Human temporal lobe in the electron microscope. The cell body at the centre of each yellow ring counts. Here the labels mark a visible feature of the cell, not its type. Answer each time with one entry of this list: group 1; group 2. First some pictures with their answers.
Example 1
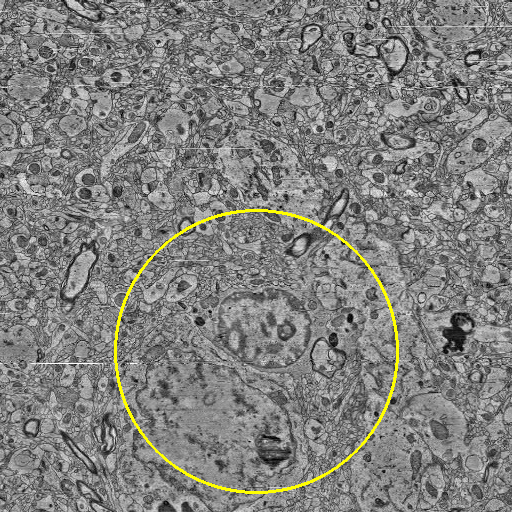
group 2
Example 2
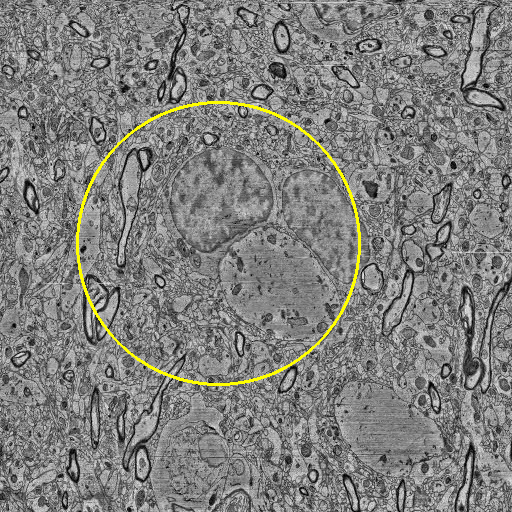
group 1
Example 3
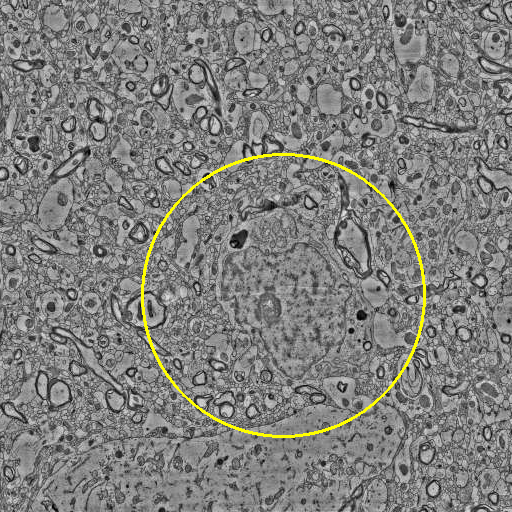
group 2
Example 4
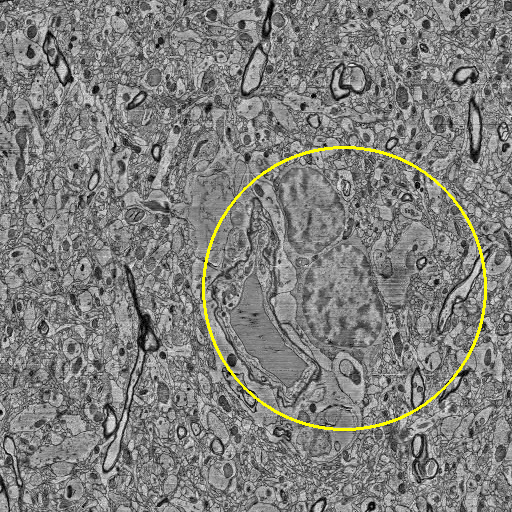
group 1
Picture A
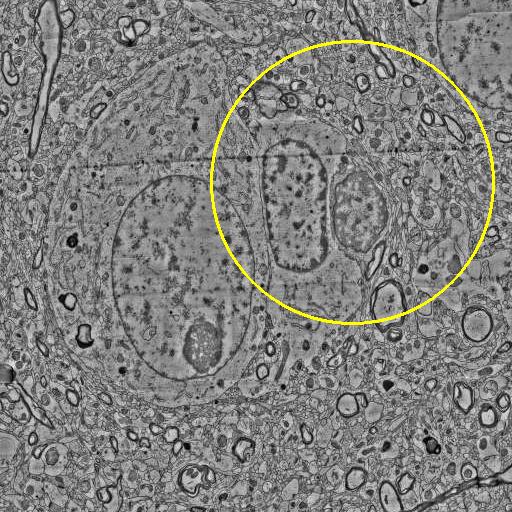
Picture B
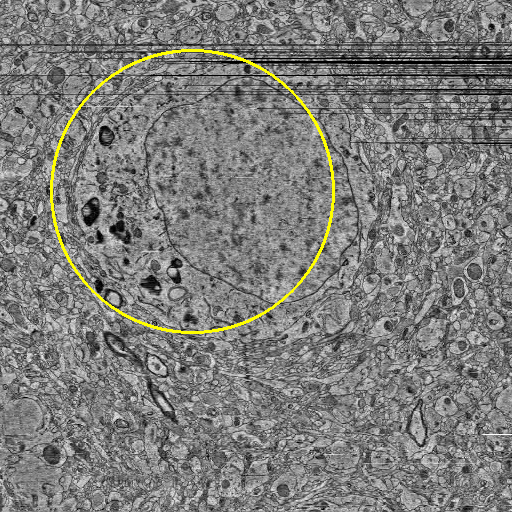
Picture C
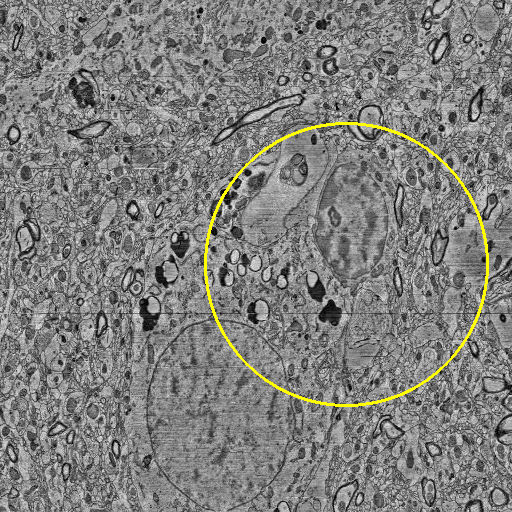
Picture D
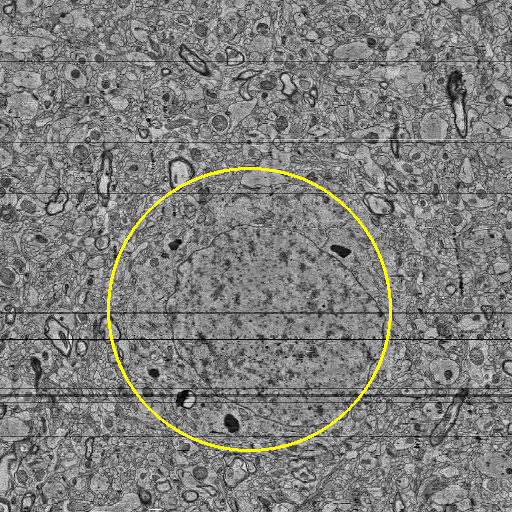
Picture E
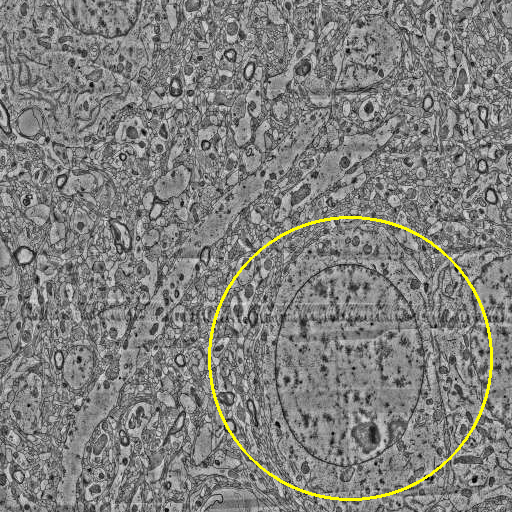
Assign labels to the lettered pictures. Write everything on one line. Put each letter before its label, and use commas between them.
A group 1, B group 1, C group 2, D group 1, E group 2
